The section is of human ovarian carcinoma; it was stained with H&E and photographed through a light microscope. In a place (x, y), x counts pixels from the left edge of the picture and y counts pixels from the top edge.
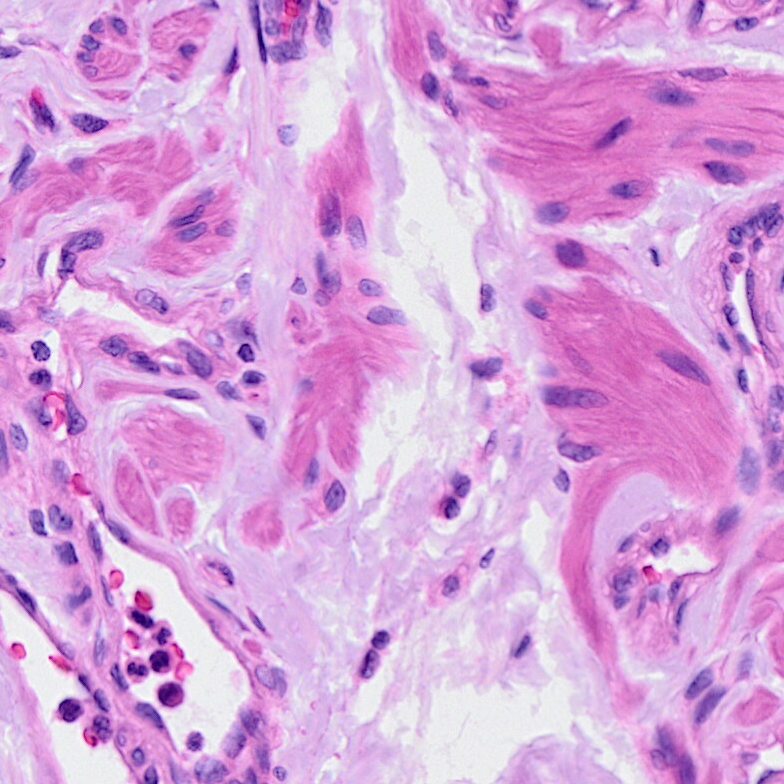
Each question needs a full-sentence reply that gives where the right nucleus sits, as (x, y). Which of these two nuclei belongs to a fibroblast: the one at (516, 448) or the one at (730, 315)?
Of the two nuclei, that at (516, 448) is the nucleus of a fibroblast.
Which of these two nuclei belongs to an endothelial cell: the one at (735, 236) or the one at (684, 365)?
The nucleus positioned at (735, 236) is the one that belongs to an endothelial cell.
